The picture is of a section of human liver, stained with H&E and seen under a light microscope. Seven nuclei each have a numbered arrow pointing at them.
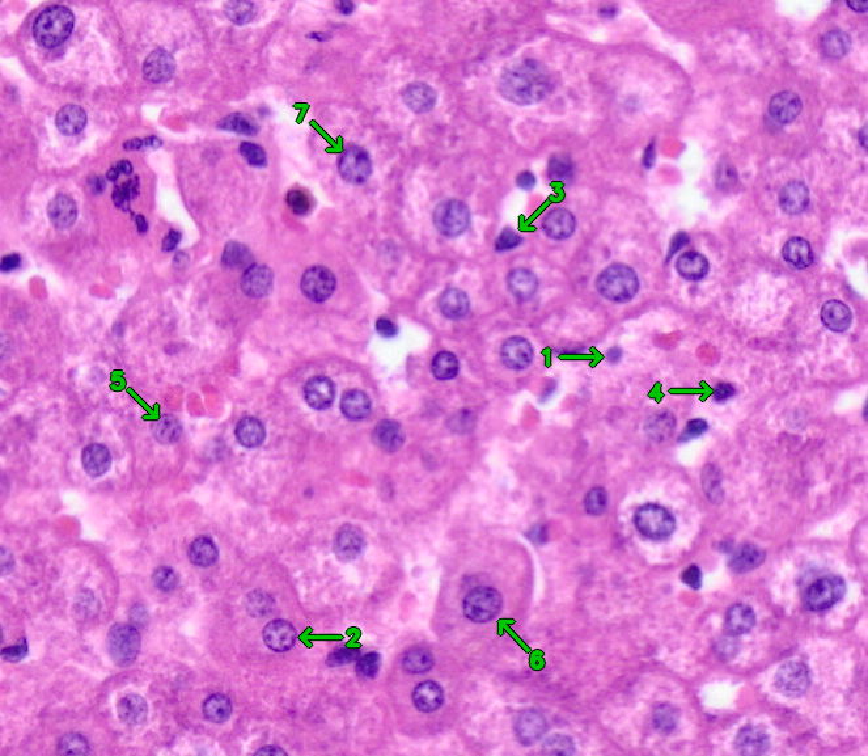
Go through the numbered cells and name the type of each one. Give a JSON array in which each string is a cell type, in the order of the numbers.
["lymphocyte", "hepatocyte", "fibroblast or stellate cell", "lymphocyte", "hepatocyte", "hepatocyte", "hepatocyte"]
